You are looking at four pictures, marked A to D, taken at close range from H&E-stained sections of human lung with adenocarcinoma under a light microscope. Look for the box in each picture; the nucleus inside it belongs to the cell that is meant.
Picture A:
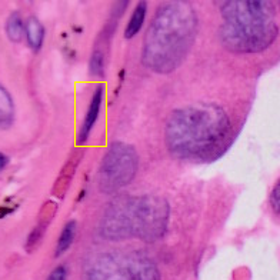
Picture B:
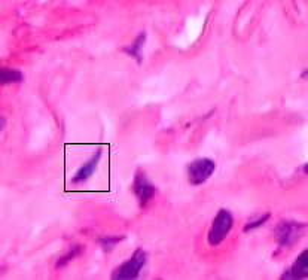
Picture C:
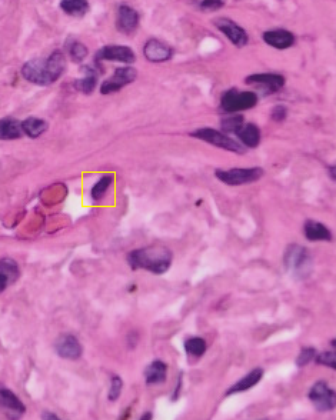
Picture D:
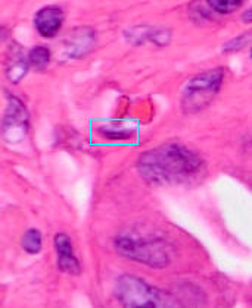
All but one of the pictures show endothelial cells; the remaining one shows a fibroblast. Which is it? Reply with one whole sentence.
The picture with the fibroblast is B.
